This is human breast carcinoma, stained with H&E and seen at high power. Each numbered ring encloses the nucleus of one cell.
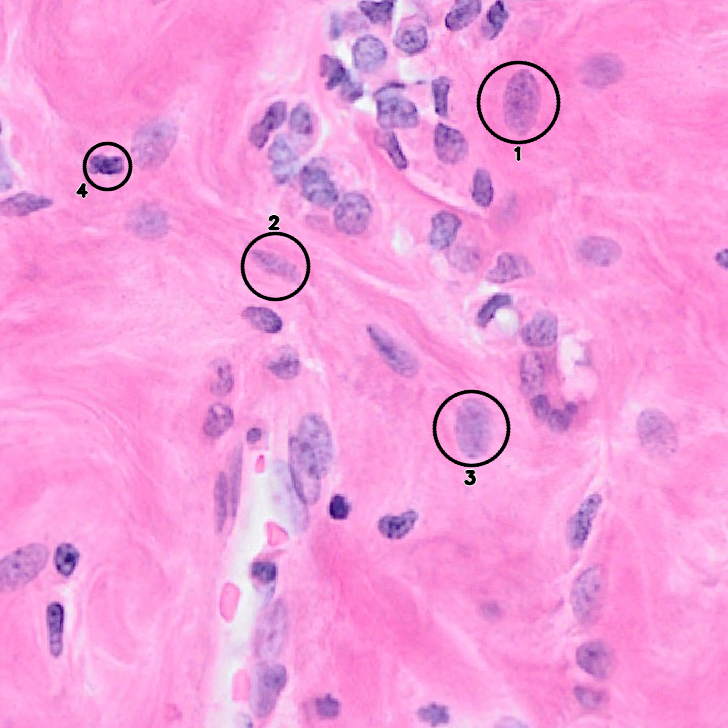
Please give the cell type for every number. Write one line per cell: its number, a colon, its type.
1: fibroblast
2: fibroblast
3: fibroblast
4: lymphocyte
